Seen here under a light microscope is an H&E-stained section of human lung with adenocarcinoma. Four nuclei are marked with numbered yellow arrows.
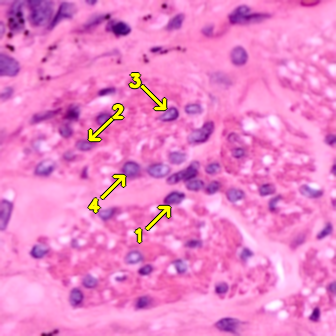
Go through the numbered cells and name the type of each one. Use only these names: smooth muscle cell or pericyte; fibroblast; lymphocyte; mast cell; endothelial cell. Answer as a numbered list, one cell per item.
1. mast cell
2. smooth muscle cell or pericyte
3. smooth muscle cell or pericyte
4. smooth muscle cell or pericyte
